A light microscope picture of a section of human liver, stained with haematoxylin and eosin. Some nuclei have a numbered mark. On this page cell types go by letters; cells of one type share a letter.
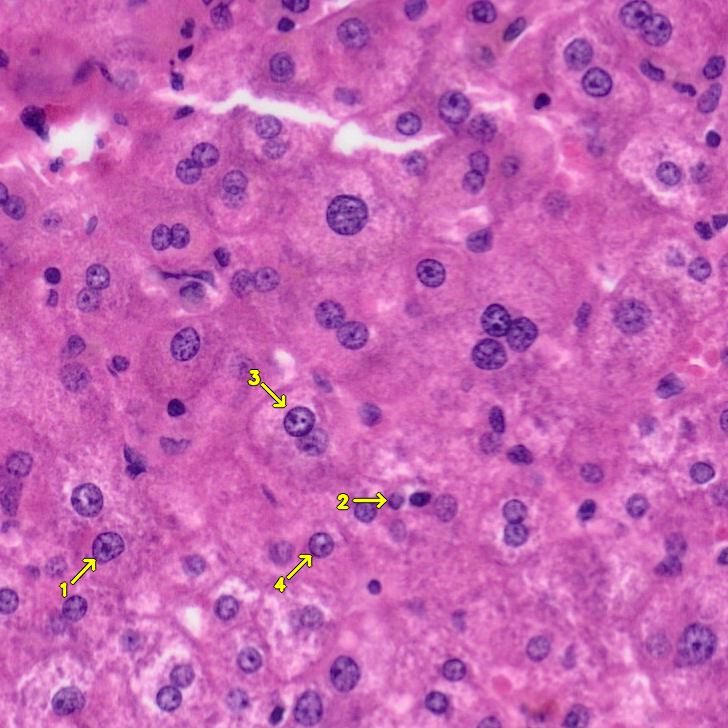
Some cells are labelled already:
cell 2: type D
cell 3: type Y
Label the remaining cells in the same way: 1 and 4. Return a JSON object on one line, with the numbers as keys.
{"1": "type Y", "4": "type Y"}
